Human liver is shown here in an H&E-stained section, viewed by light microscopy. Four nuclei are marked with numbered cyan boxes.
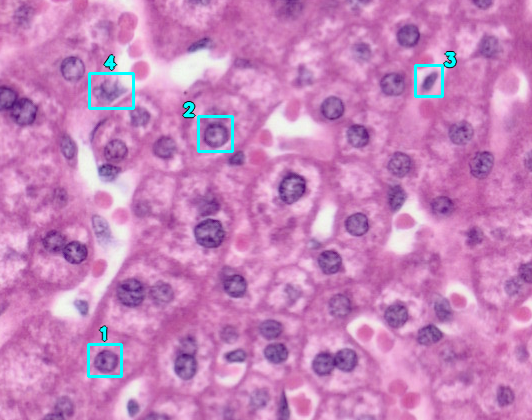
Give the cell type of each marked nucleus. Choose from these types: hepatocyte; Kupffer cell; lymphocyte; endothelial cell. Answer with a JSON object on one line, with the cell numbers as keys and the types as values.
{"1": "hepatocyte", "2": "hepatocyte", "3": "lymphocyte", "4": "endothelial cell"}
